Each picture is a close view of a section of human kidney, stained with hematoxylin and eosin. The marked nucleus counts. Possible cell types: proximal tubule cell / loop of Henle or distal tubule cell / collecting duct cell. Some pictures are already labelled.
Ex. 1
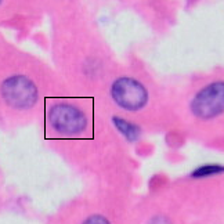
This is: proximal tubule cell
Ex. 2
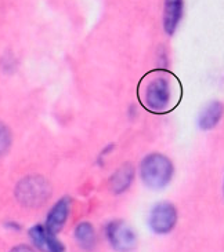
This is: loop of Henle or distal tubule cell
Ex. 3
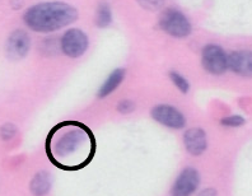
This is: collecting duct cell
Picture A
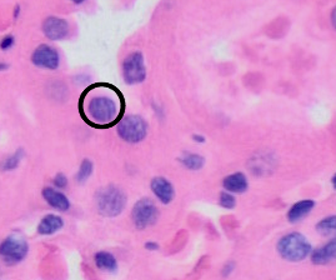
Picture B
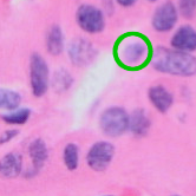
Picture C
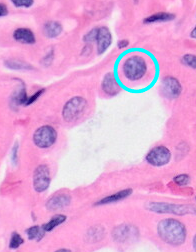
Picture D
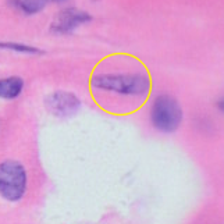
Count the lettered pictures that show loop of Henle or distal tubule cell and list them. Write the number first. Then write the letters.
Count: 2 (A, C)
